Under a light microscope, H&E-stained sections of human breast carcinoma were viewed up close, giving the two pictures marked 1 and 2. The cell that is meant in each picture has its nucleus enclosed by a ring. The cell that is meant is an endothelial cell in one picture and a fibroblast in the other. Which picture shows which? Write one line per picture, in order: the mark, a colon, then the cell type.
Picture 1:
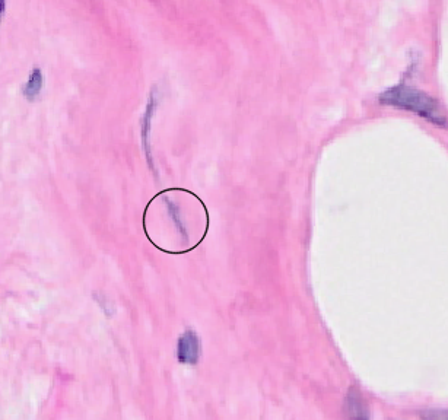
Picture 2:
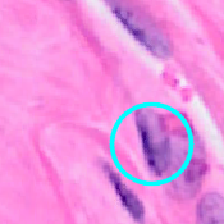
1: fibroblast
2: endothelial cell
